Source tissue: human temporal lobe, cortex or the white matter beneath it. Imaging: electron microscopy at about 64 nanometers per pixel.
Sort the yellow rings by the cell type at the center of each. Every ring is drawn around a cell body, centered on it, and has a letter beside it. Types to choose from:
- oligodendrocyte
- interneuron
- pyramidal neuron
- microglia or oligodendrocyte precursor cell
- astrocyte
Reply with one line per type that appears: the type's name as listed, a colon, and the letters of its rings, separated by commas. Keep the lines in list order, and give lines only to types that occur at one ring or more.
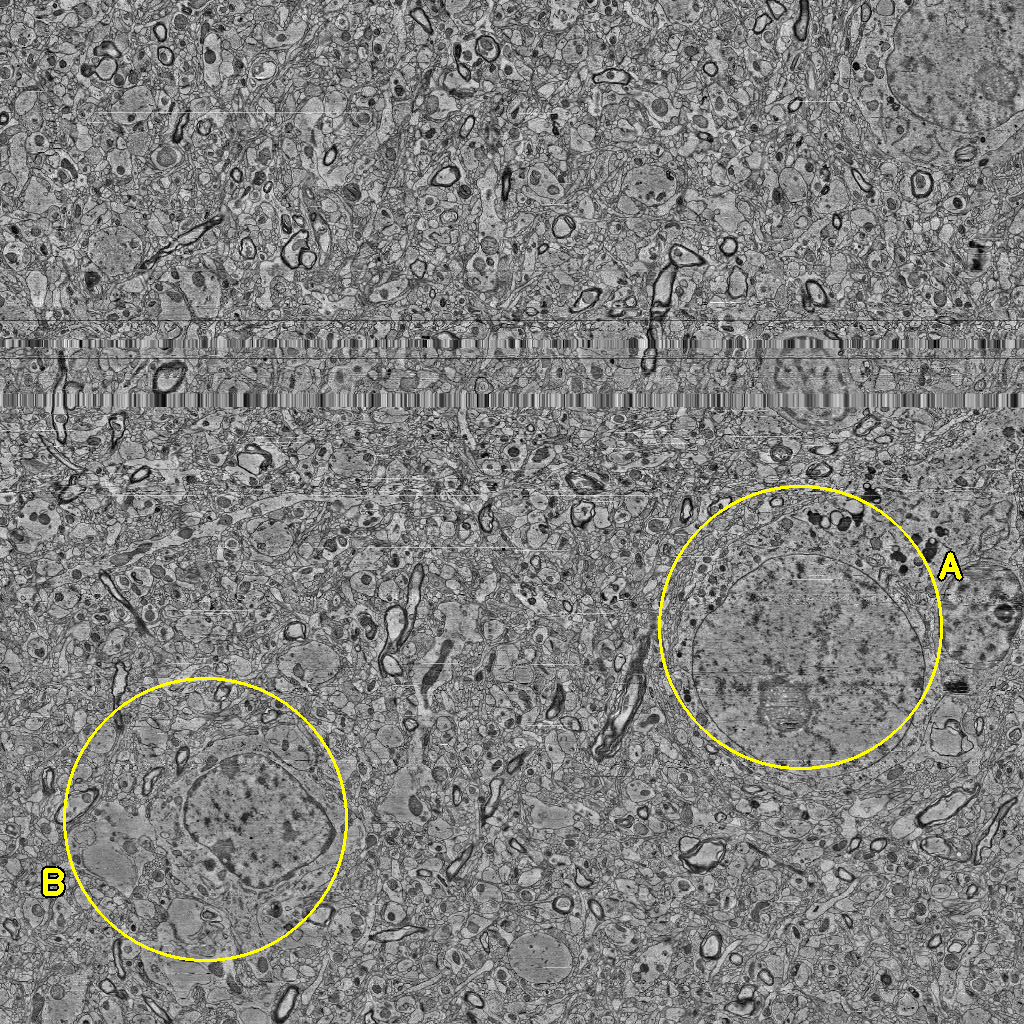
pyramidal neuron: A
microglia or oligodendrocyte precursor cell: B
